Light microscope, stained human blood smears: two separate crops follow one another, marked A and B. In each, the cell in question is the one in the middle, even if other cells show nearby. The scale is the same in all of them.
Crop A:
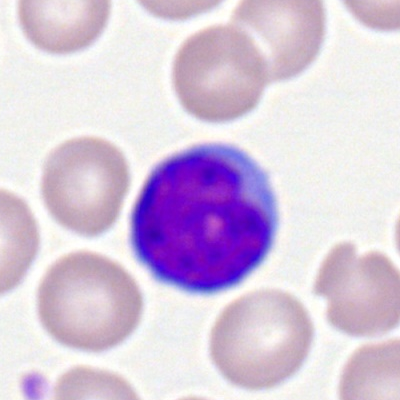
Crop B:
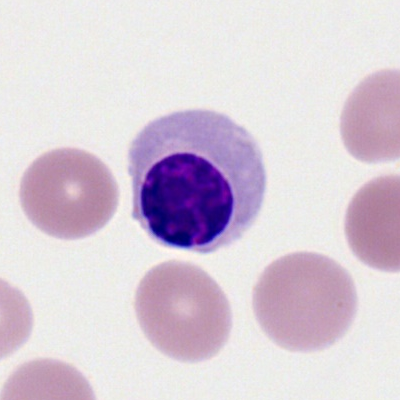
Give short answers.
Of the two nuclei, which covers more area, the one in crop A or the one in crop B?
A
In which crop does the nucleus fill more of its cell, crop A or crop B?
A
